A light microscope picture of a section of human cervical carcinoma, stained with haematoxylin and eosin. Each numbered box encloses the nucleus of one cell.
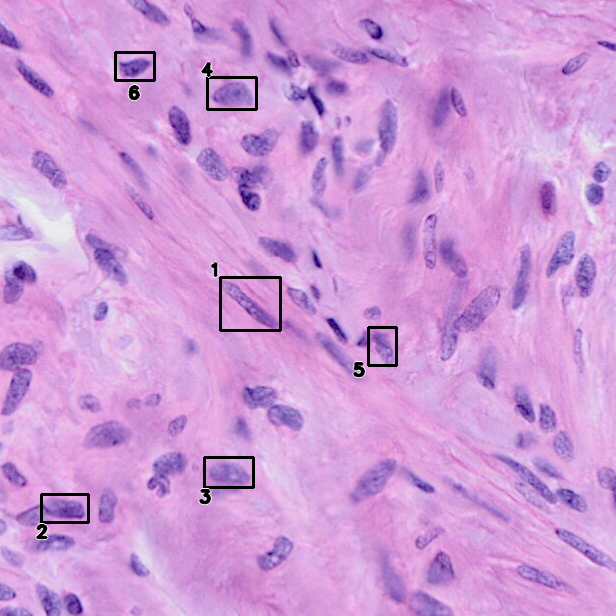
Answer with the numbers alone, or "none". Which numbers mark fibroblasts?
2, 3, 4, 6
